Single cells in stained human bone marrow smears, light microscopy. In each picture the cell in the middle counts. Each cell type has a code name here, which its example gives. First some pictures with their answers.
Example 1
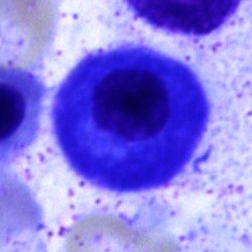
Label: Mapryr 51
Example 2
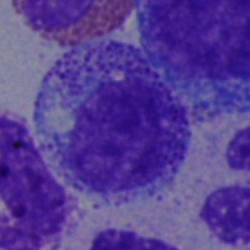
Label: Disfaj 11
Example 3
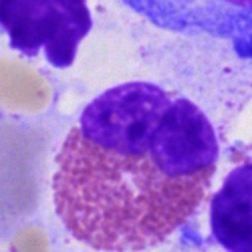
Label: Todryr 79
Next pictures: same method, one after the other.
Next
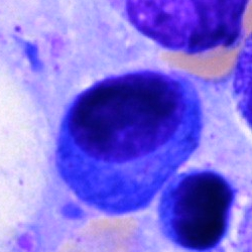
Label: Mapryr 51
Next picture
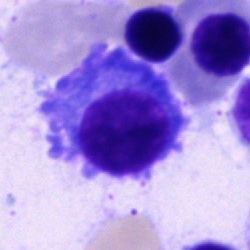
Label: Mapryr 51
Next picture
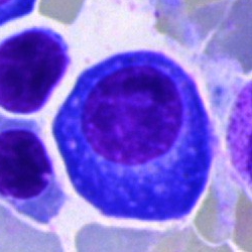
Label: Mapryr 51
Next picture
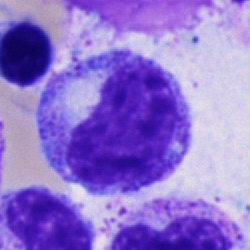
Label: Disfaj 11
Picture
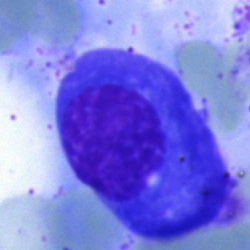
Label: Mapryr 51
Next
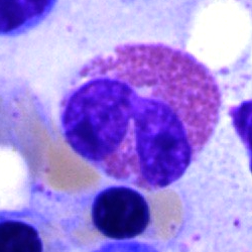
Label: Todryr 79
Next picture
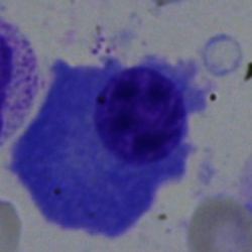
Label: Mapryr 51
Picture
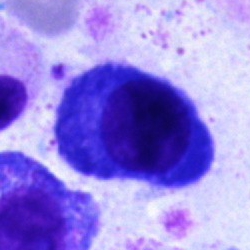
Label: Mapryr 51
